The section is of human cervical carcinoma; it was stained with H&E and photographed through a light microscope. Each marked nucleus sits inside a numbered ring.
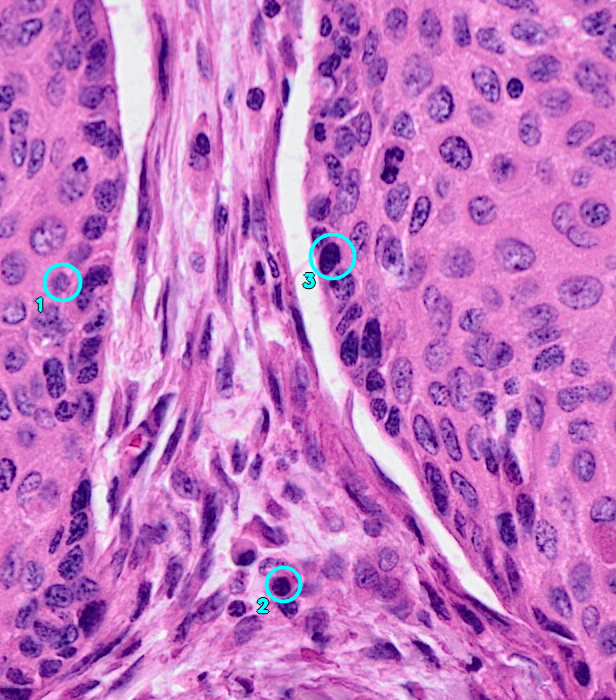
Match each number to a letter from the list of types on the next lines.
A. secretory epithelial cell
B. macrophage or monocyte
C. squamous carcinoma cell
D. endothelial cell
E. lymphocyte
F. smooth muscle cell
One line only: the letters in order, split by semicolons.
C; E; C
